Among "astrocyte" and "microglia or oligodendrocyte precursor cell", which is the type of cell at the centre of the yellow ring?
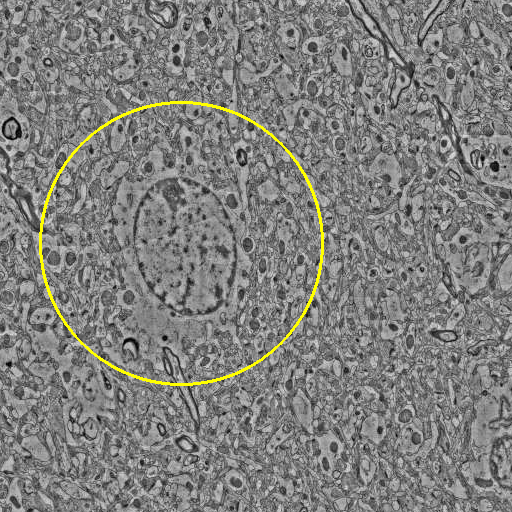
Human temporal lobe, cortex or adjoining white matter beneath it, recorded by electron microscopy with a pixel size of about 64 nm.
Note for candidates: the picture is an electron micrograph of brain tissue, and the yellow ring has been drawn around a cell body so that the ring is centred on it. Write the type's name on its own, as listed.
astrocyte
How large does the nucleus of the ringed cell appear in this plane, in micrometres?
The nucleus appears roughly 9 by 7 micrometres in this plane.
